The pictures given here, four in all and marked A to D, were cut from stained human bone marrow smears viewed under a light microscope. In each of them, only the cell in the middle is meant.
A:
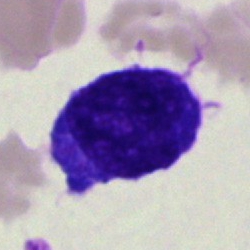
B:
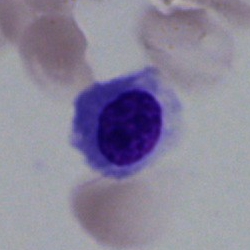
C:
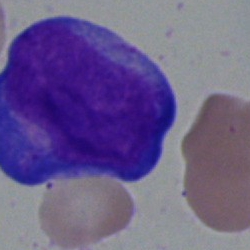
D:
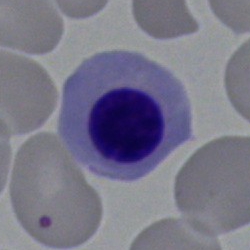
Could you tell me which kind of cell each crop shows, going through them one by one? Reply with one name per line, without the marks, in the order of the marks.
blast
erythroblast
blast
erythroblast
